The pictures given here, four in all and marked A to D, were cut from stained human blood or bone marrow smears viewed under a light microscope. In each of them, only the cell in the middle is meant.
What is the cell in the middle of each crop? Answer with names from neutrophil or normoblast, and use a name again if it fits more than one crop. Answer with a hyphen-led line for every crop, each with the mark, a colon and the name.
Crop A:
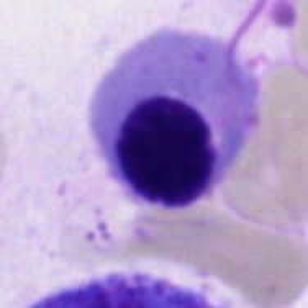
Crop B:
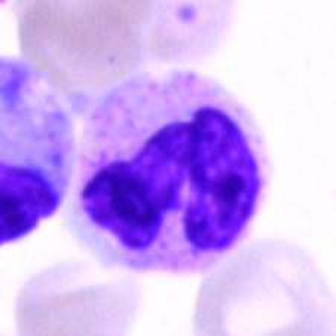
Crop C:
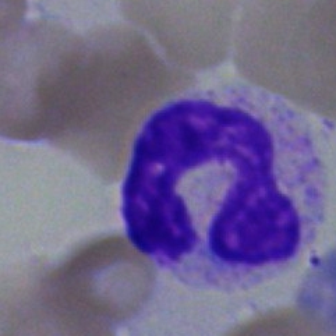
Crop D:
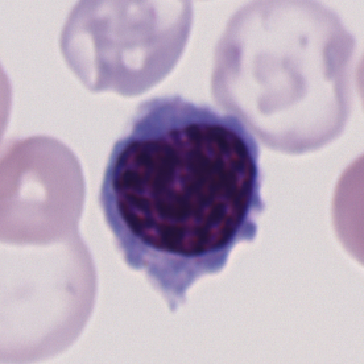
- A: normoblast
- B: neutrophil
- C: neutrophil
- D: normoblast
